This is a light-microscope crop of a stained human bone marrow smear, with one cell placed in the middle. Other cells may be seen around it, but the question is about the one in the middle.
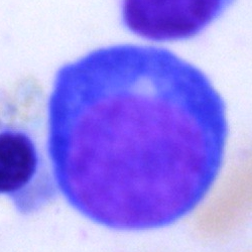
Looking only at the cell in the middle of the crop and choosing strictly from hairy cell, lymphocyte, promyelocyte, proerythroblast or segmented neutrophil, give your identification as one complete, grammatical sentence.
For this crop, the central cell is a proerythroblast.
